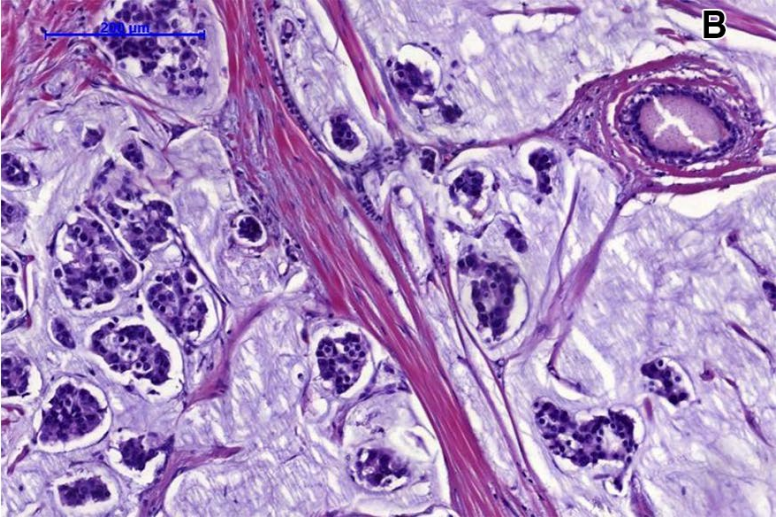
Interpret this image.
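Clusters of cancer cells float in pools of extracellular mucus. The clusters are small, rounded or irregular groups of crowded cells with dark purple, rounded nuclei and little cytoplasm; many sit in a clear space that separates them from the surrounding material. The mucus appears as pale lilac, wispy, almost cell-free material filling most of the field. Bands of bright pink fibrous tissue cross the field and divide the mucus into compartments, and a small duct-like structure with a pink, lamellated wall and a pale pink lumen lies at the upper right.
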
